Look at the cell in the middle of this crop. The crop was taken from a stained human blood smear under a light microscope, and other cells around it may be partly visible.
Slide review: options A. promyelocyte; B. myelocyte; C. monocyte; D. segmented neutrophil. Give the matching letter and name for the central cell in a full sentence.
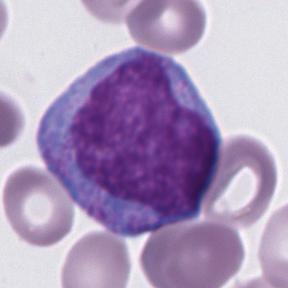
The centrally located cell is a promyelocyte, making option A the correct choice.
